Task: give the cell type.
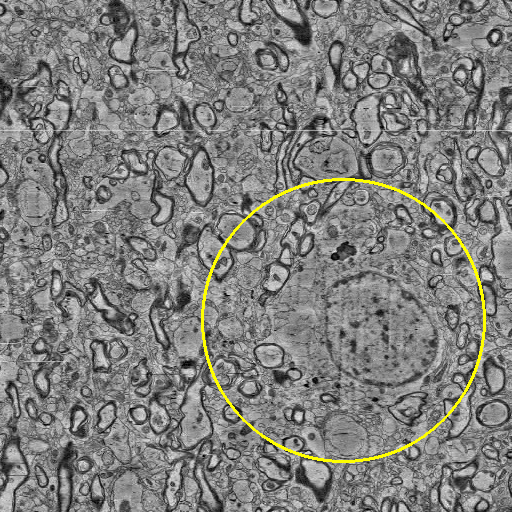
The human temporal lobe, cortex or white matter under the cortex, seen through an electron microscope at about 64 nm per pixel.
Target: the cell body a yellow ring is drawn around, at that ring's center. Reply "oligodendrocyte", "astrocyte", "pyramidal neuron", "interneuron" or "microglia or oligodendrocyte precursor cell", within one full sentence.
In this picture, the cell whose body lies at the ring's center is an astrocyte.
